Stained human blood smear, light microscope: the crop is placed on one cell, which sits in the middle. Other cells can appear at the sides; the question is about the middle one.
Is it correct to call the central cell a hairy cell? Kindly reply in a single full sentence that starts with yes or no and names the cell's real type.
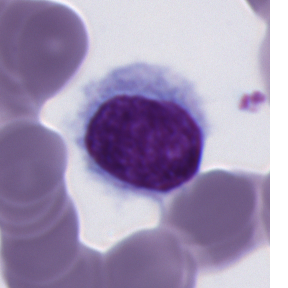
Yes, centred in the crop is a hairy cell.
